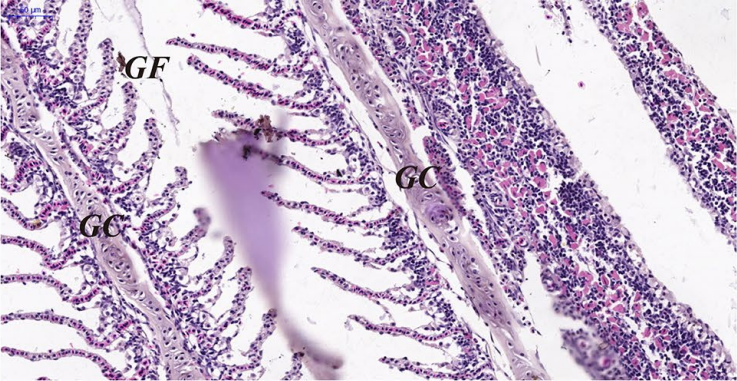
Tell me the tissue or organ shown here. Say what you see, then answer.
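Long parallel filaments each with a central rod of cartilage.
Hence: gills.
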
